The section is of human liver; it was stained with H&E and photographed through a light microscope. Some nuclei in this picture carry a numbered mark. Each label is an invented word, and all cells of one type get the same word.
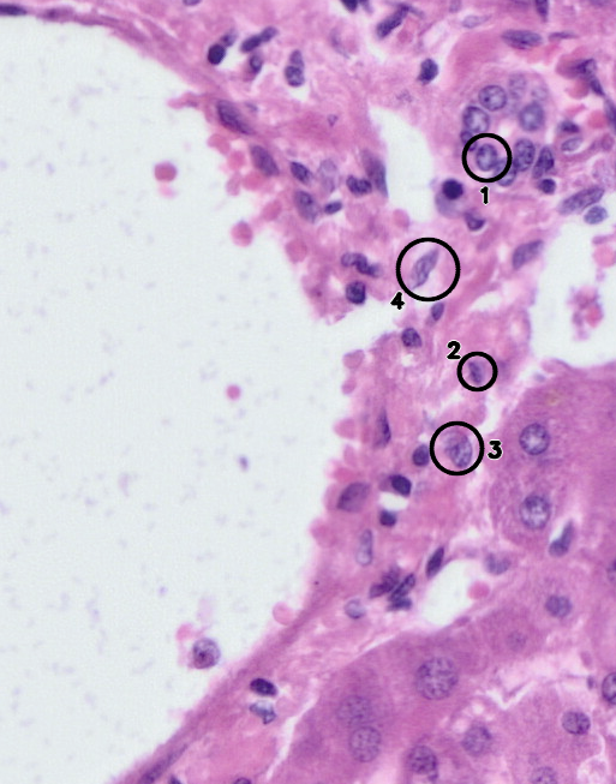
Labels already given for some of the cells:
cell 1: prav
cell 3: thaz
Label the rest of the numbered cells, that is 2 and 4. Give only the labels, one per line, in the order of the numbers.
thaz
thaz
